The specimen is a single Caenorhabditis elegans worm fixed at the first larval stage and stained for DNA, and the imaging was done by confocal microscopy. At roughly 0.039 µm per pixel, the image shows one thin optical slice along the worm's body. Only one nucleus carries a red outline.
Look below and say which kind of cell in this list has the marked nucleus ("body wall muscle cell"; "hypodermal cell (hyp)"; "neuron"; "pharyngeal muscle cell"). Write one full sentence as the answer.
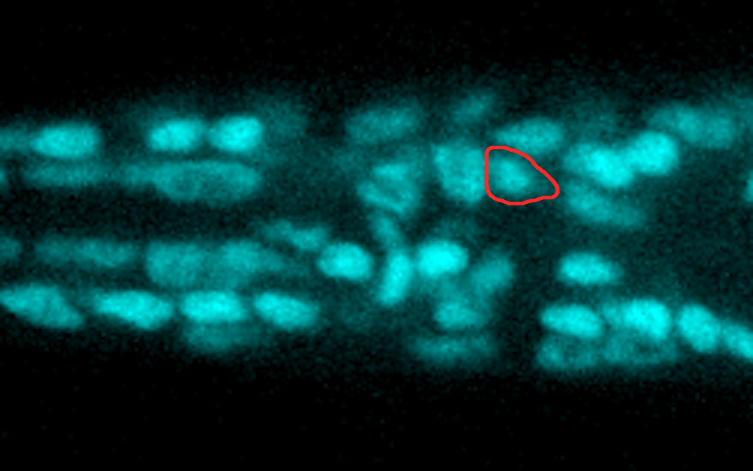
This nucleus is from a neuron.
